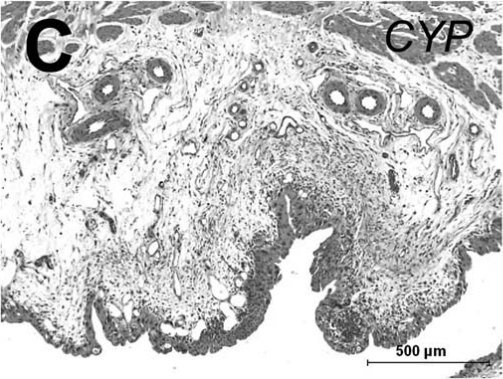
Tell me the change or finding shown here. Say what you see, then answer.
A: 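The tissue under the epithelium is greatly widened. That tissue is pale and loosely textured with wide spaces between fibres.
Edema.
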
